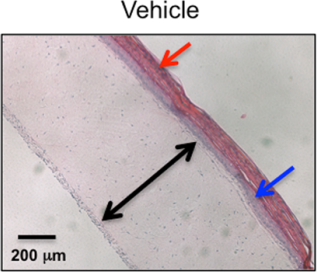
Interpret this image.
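A cross-section of a skin tissue runs diagonally across the field, with a thin strongly stained surface and a broad pale layer beneath it. The outermost band is deep pink to red and made of thin, partly separated sheets without nuclei, the stratum corneum. At the lower left edge the pale layer ends in a faint fibrous border against the empty background.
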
